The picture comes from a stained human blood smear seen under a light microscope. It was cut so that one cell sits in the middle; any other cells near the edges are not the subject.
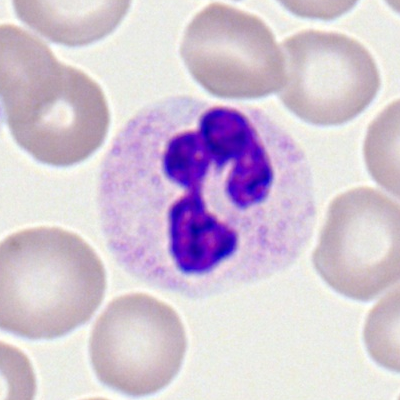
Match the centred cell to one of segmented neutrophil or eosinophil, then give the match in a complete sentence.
In this crop, the cell at the very middle is a segmented neutrophil.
